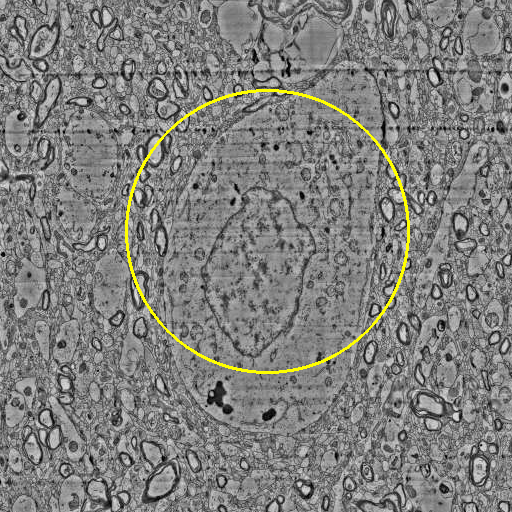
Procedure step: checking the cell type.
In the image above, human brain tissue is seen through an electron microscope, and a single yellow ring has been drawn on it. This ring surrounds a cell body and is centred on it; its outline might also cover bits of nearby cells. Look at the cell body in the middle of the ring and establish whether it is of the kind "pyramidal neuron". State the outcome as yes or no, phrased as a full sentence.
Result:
Yes, the cell body at the ring's centre in the image is of the kind in question.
